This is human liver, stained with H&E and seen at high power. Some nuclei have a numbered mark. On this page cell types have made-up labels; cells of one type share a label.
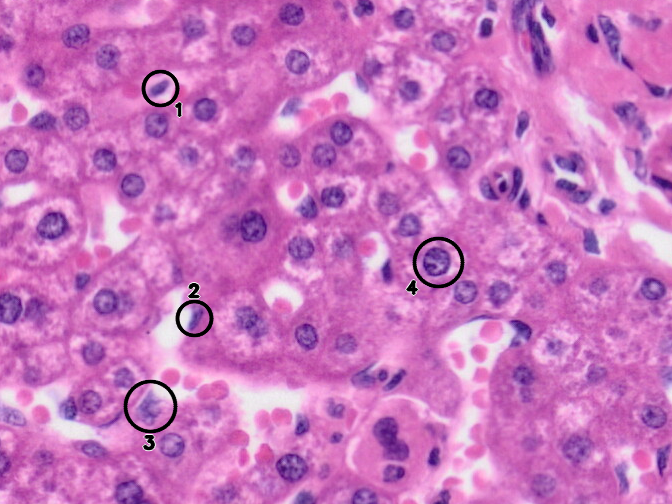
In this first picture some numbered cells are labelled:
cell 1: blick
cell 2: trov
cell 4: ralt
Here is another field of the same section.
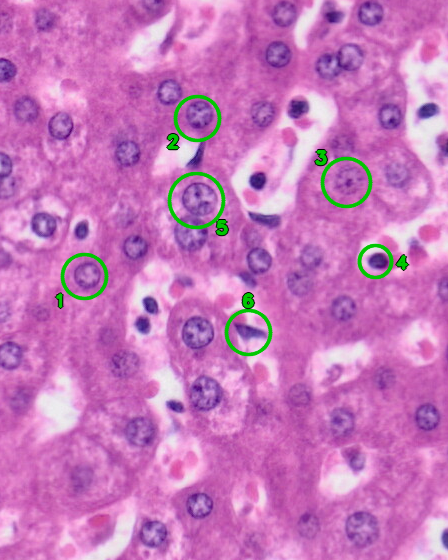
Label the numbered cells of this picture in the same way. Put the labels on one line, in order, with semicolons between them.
ralt; ralt; ralt; blick; ralt; trov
